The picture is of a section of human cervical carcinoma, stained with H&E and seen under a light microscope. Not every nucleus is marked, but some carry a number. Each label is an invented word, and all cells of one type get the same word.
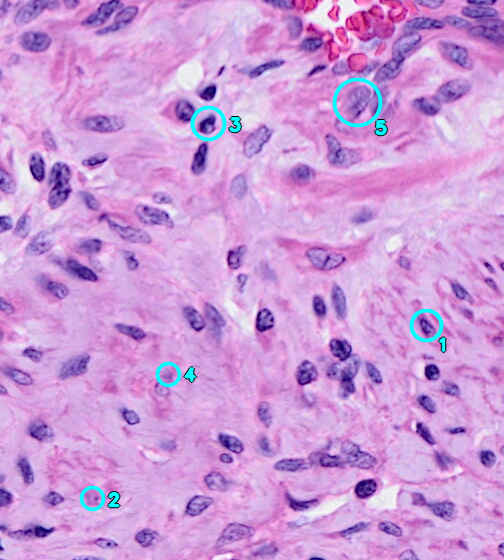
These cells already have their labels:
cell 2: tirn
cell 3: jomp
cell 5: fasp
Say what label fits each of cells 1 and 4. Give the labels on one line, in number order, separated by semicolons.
tirn; tirn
